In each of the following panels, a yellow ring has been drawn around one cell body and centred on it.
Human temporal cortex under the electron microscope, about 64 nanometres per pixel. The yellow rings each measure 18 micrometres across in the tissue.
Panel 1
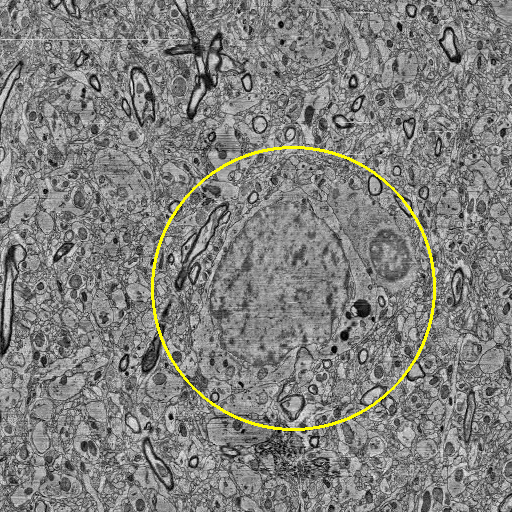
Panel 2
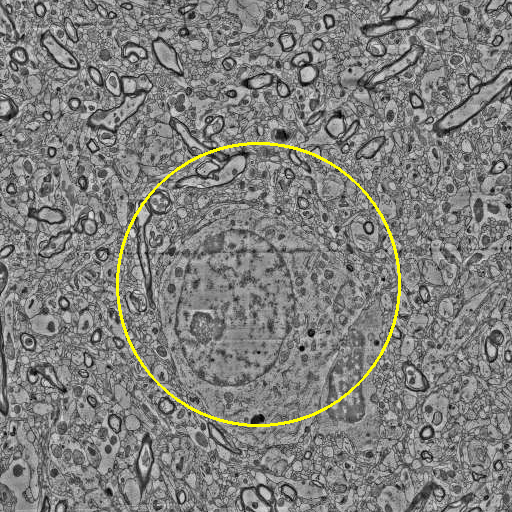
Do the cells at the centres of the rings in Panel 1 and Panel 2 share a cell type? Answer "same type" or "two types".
same type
